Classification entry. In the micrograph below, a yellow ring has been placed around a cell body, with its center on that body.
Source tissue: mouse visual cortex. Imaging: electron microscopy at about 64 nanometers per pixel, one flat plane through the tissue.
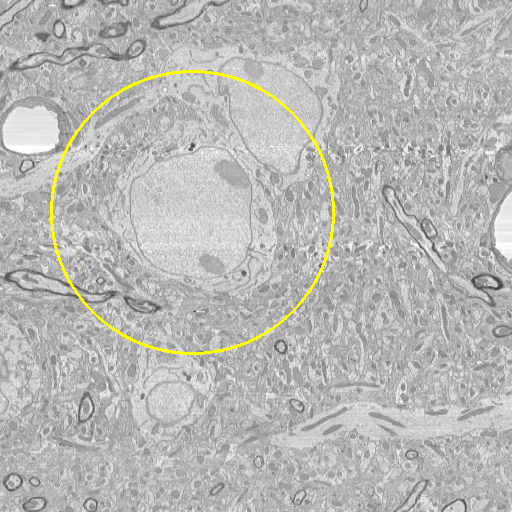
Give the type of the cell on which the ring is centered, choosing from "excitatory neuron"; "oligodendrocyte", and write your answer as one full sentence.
The cell body at the center of the yellow ring belongs to an excitatory neuron.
